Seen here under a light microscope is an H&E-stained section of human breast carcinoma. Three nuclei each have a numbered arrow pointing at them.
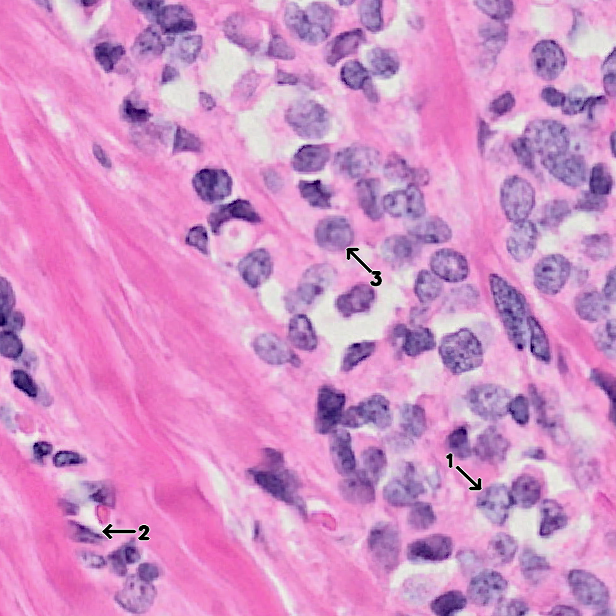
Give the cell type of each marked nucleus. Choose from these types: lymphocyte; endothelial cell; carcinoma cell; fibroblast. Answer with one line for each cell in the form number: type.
1: carcinoma cell
2: endothelial cell
3: carcinoma cell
